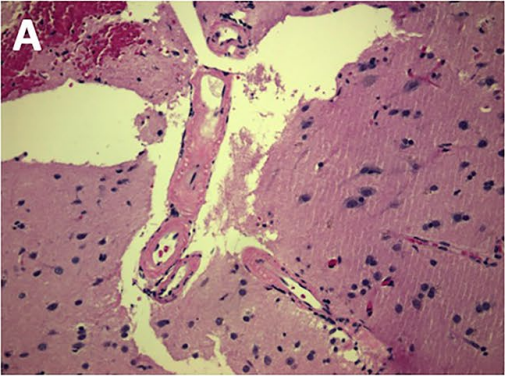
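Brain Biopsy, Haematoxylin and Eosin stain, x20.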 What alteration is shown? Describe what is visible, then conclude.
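The upper left corner is filled with densely packed red blood cells lying outside any vessel. The red cell collection sits beside pale brain tissue.
Haemorrhage.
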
